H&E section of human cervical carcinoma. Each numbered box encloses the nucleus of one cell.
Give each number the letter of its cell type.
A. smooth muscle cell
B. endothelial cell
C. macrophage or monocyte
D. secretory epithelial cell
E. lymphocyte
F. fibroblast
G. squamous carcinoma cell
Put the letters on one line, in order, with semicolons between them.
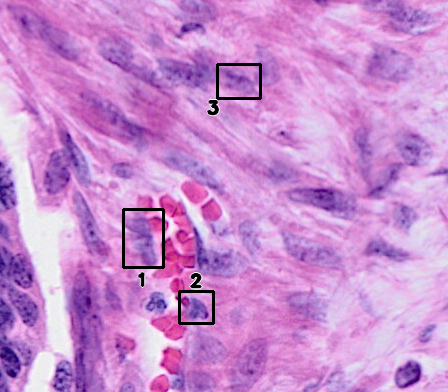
B; B; F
